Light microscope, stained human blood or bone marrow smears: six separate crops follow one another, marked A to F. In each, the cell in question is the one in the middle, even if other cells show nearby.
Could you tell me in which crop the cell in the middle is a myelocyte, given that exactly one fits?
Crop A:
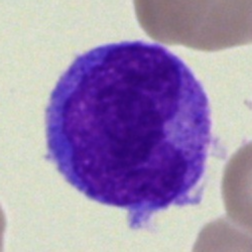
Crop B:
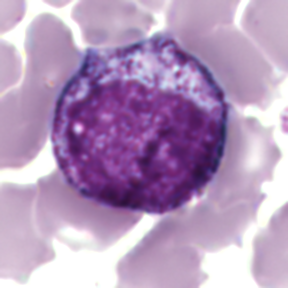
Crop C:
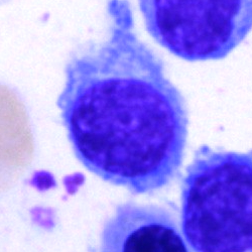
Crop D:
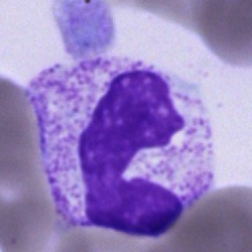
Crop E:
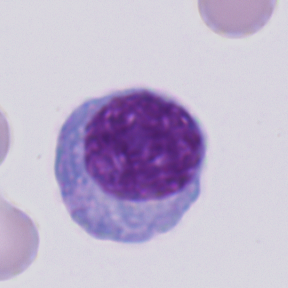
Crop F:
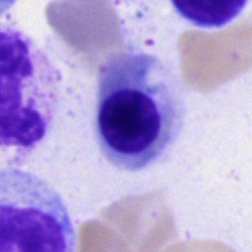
B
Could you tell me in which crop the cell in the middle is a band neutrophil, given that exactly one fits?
D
